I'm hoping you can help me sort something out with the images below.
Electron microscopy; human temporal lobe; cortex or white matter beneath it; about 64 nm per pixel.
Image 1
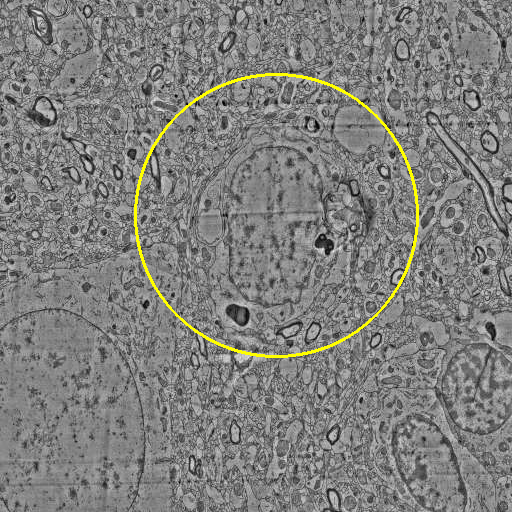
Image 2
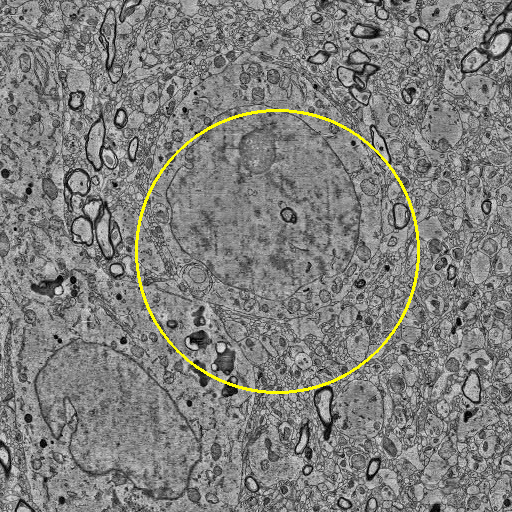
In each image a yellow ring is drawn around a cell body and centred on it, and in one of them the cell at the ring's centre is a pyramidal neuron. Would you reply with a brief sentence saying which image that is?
In Image 2, the cell at the centre of the ring is the one you asked about.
